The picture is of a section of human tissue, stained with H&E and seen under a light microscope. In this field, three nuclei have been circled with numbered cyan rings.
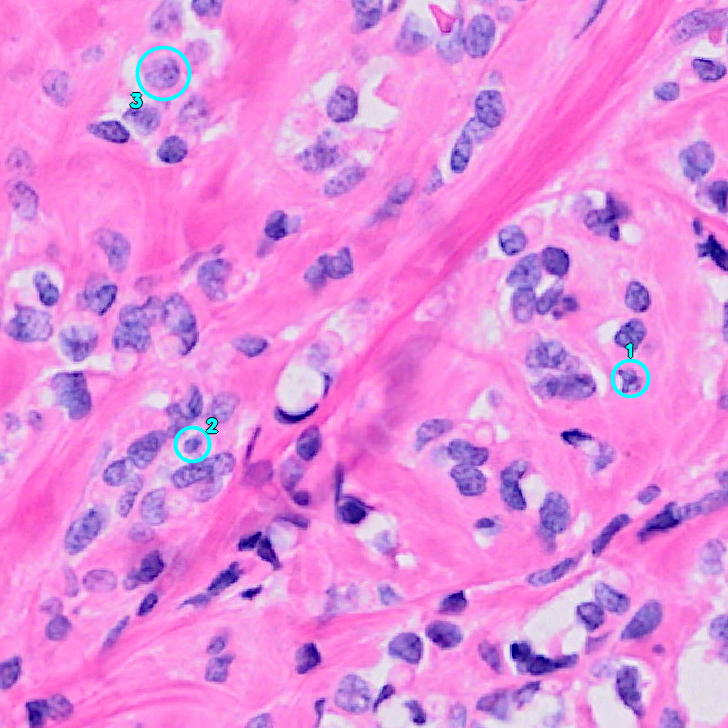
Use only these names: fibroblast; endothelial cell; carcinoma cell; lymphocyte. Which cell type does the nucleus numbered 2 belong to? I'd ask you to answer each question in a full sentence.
The one numbered 2 among the marked cells is a lymphocyte.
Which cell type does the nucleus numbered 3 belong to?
The numeral 3 marks a carcinoma cell in this section.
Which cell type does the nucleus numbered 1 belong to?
The cell referred to as 1 is an endothelial cell.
